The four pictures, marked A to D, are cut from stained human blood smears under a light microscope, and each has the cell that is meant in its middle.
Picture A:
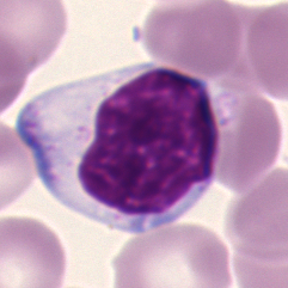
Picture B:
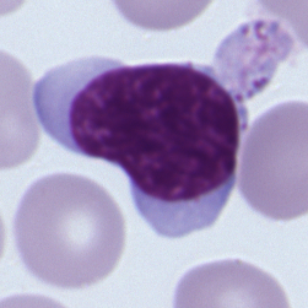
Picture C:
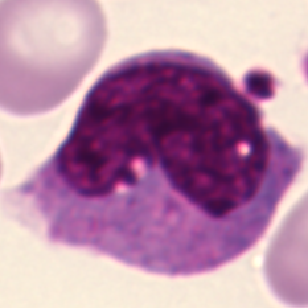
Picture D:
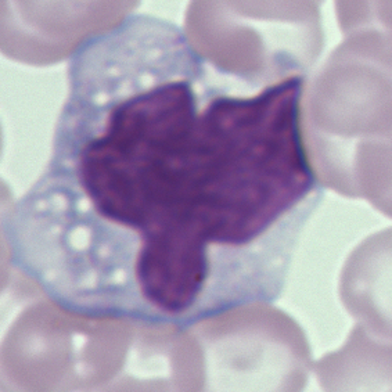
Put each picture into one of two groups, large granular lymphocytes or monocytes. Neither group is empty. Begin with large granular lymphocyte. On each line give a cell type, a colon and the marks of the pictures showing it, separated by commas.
large granular lymphocyte: A, B
monocyte: C, D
